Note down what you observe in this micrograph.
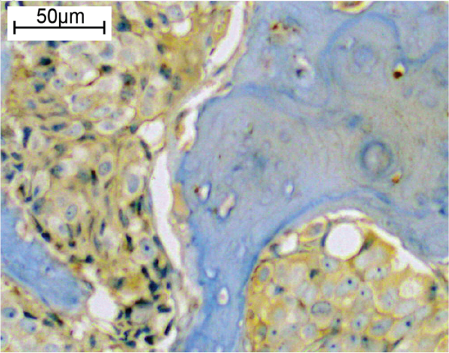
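Nests of tumor epithelial cells fill the marrow spaces between trabeculae of bone, which appear pale blue and acellular with a few lacunae. The tumor cells are large and polygonal, with round nuclei and cytoplasm stained diffusely yellow-brown. Some smaller, darker, elongated nuclei are crowded within the tumor tissue at the left. A thin cleft separates the tumor nests from the bone surface.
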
